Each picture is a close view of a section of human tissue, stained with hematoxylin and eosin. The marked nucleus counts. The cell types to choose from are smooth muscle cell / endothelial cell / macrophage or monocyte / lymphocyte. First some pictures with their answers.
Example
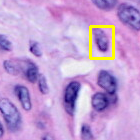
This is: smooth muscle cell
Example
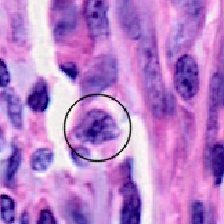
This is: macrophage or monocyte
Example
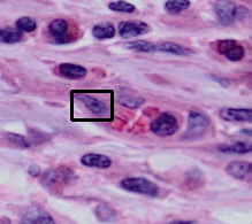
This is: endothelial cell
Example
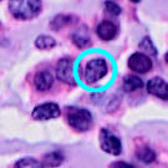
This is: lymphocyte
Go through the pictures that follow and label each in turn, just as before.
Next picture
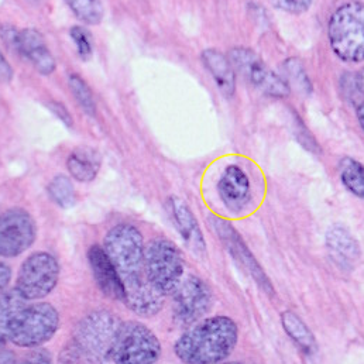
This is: macrophage or monocyte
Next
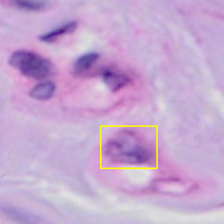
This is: endothelial cell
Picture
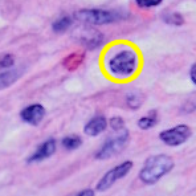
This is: lymphocyte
